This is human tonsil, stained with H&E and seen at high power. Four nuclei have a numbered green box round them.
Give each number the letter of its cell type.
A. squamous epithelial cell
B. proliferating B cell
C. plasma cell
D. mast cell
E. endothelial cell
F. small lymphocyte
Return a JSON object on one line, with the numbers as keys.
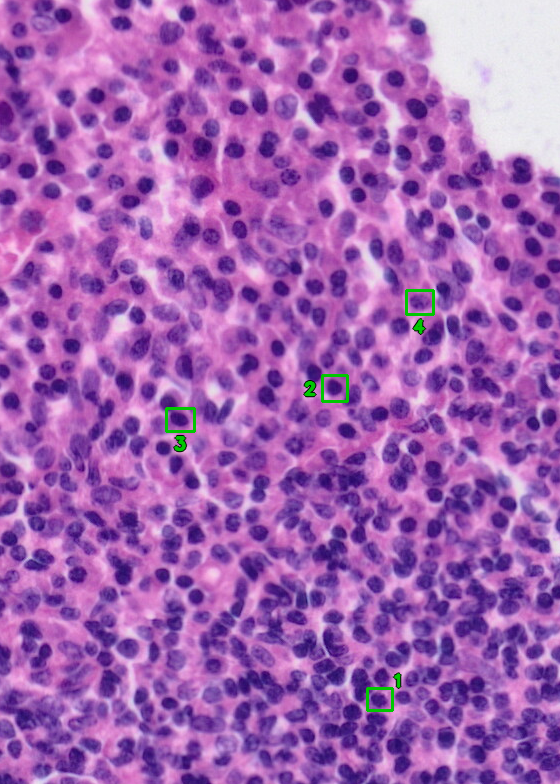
{"1": "F", "2": "C", "3": "C", "4": "C"}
